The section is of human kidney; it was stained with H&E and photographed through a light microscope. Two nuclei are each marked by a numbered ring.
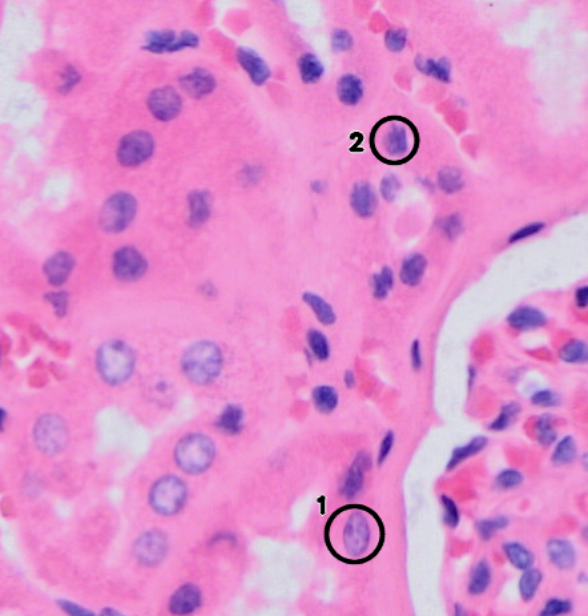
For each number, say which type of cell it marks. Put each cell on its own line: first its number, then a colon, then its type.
1: proximal tubule cell
2: loop of Henle or distal tubule cell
